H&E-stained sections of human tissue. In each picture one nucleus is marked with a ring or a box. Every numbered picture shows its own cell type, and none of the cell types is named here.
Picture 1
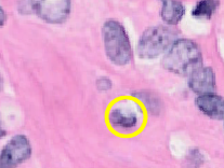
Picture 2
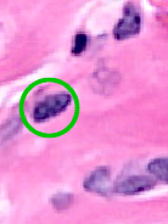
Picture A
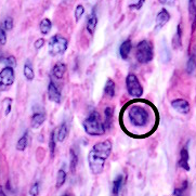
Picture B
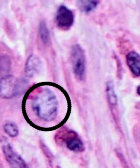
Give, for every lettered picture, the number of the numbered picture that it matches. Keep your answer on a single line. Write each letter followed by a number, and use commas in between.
A 2, B 1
